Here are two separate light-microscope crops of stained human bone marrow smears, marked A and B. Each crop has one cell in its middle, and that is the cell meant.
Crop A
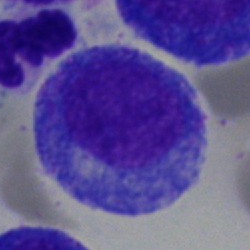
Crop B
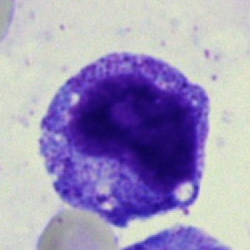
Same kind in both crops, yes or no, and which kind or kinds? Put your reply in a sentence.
Yes, it is promyelocytes that sit at the centre of both crops.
